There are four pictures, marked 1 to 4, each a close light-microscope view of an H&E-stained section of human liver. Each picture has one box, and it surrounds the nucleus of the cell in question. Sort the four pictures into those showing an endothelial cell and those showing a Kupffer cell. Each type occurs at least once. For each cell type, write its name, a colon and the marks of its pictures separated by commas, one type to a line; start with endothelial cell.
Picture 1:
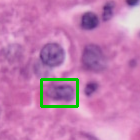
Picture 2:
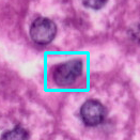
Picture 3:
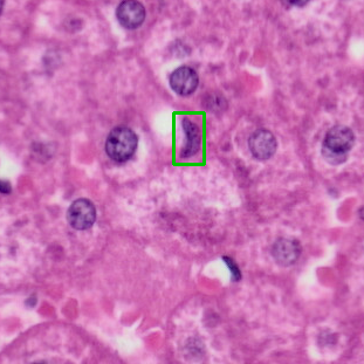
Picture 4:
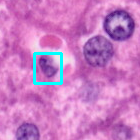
endothelial cell: 3
Kupffer cell: 1, 2, 4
